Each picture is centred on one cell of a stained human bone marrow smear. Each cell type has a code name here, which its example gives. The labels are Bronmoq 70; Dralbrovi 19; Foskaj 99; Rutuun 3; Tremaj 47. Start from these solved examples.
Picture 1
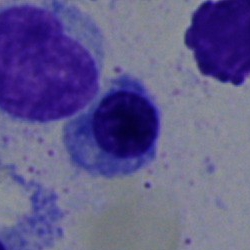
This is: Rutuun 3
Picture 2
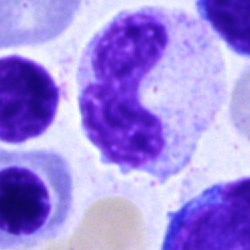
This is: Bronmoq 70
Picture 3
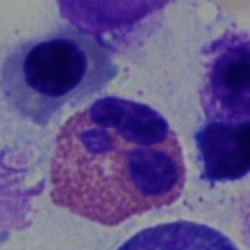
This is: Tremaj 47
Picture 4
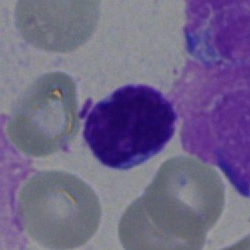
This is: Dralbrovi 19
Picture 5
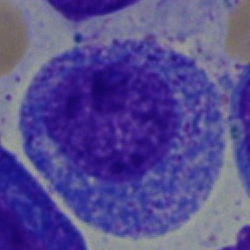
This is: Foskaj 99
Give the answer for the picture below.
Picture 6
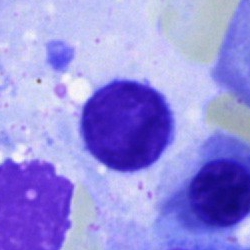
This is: Dralbrovi 19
